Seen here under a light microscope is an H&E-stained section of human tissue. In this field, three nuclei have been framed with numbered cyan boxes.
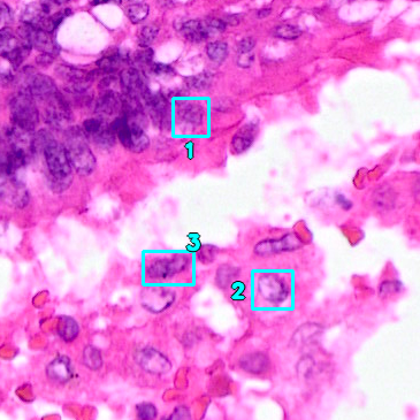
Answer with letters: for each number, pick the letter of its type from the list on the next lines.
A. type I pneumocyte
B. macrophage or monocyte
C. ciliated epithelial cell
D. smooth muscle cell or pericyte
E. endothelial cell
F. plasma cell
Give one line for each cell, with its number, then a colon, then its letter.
1: C
2: B
3: B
